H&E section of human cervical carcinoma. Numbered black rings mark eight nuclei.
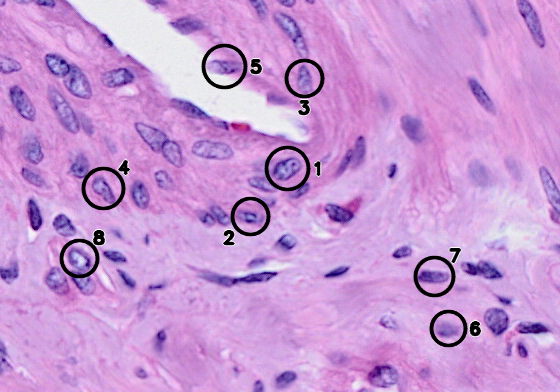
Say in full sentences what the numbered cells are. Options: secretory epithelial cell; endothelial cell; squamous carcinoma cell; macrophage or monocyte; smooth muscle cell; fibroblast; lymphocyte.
Cell 1 is a smooth muscle cell, cell 2 is a smooth muscle cell, cell 3 is a smooth muscle cell, cell 4 is a smooth muscle cell, cell 5 is an endothelial cell, cell 6 is a fibroblast, cell 7 is a fibroblast and cell 8 is an endothelial cell.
